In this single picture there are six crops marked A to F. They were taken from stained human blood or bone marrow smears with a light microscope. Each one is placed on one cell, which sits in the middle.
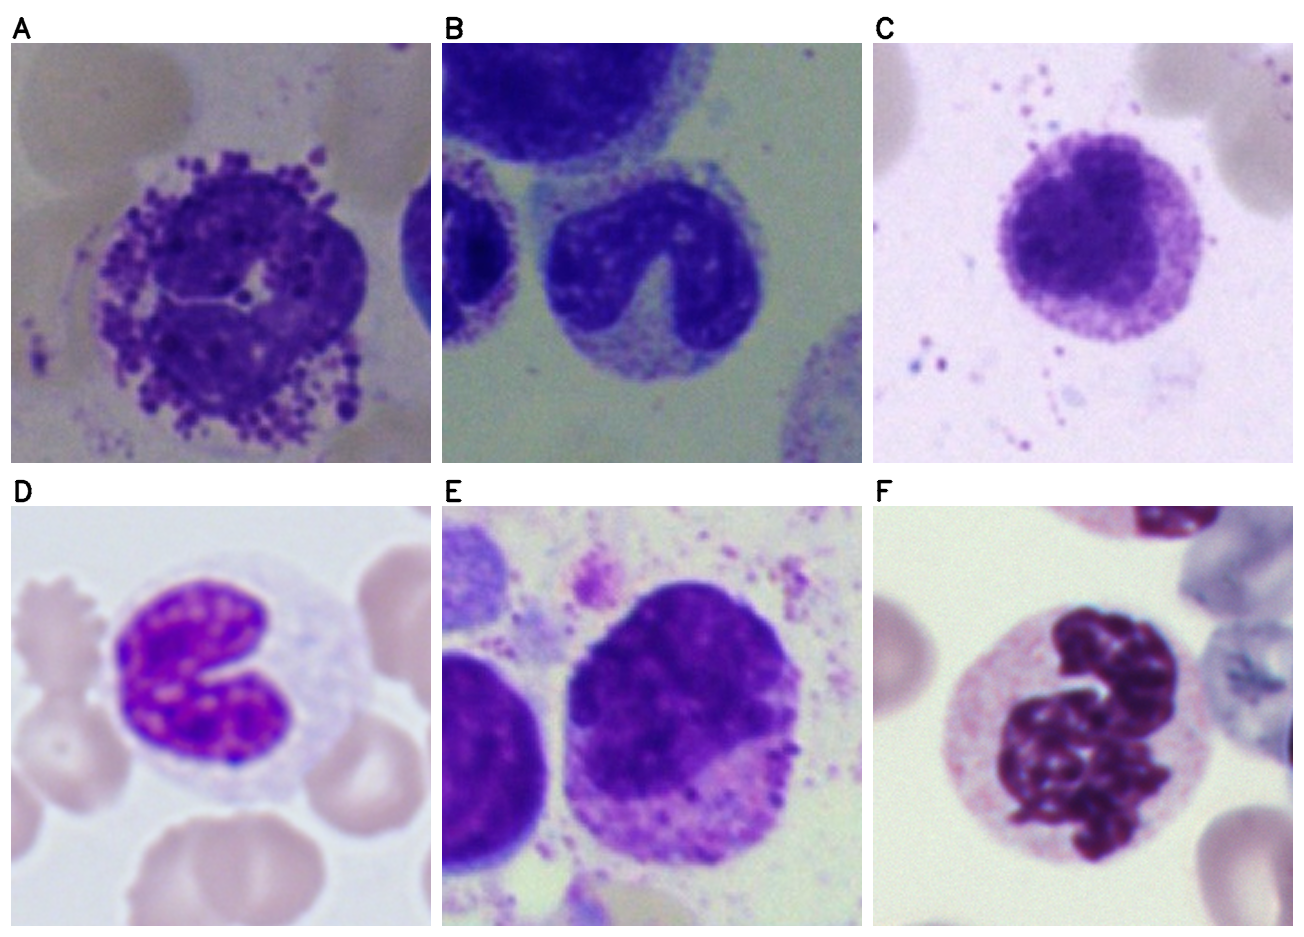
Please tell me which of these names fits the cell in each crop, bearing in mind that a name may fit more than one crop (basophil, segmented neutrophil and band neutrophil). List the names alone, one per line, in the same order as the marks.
basophil
band neutrophil
basophil
band neutrophil
basophil
segmented neutrophil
